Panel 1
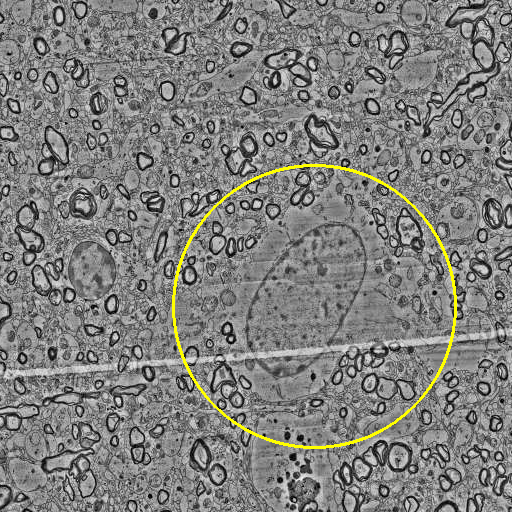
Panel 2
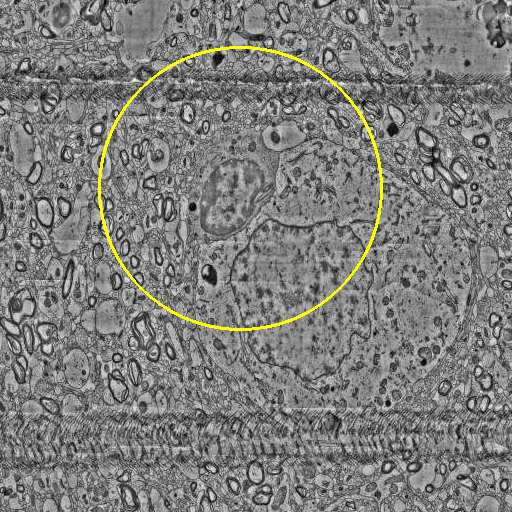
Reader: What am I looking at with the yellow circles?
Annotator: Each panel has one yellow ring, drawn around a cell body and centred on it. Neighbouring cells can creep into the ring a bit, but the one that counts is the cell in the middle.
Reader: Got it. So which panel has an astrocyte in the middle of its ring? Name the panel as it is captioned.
Panel 1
